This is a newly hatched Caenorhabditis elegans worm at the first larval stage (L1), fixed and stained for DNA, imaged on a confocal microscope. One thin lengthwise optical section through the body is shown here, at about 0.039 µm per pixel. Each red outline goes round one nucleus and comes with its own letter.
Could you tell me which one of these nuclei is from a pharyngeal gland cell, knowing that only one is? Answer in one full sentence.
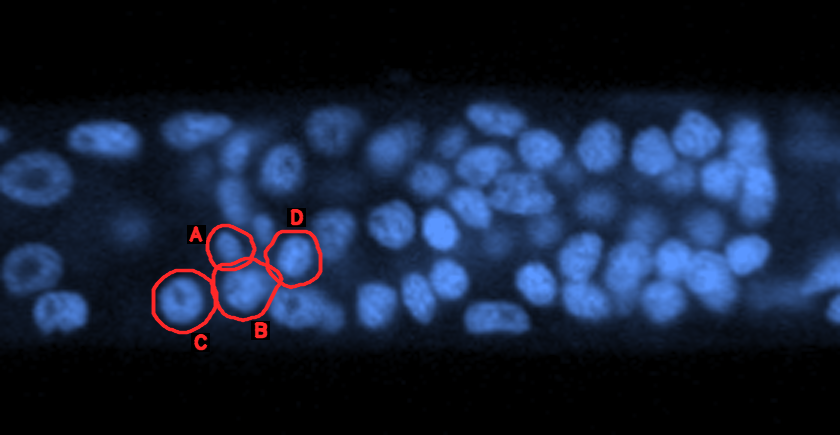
The one from a pharyngeal gland cell is D.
